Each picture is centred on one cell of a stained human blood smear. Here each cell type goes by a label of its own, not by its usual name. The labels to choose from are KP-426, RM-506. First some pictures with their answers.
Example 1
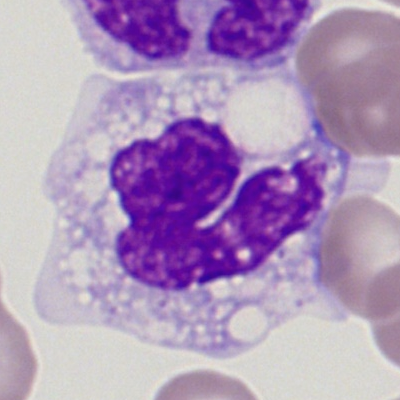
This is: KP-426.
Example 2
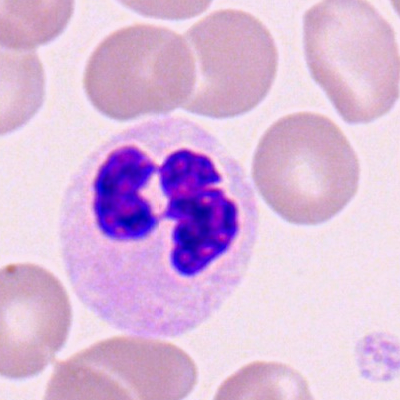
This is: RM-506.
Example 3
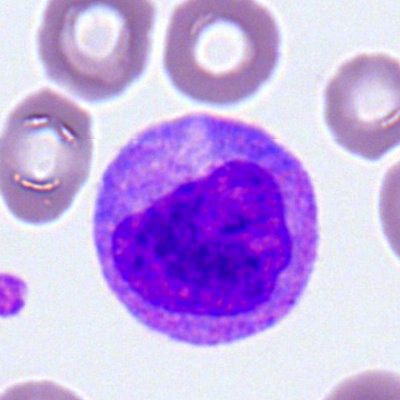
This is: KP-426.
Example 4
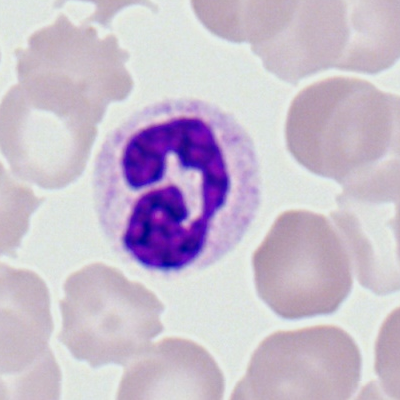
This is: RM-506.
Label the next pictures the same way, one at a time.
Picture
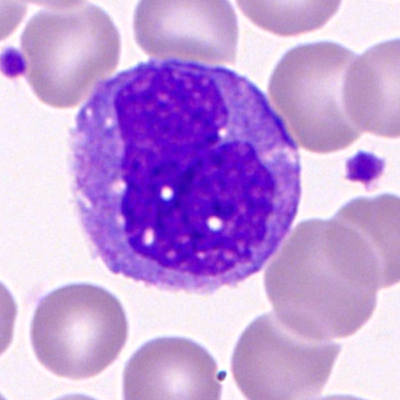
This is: KP-426.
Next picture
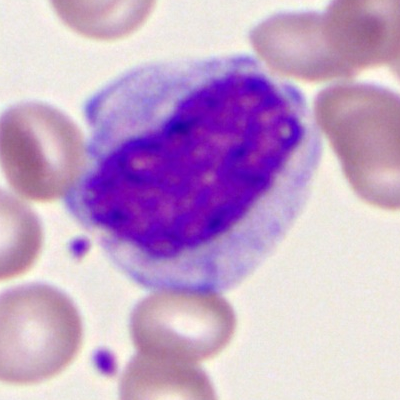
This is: KP-426.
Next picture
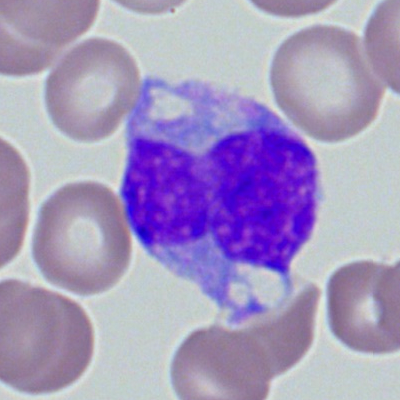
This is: KP-426.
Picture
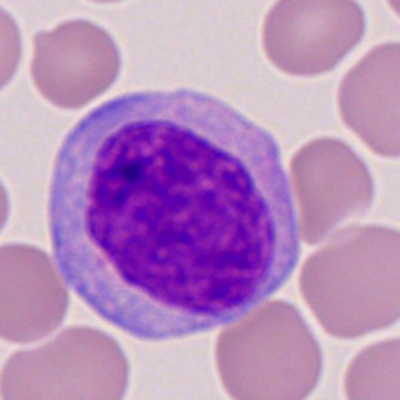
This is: KP-426.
